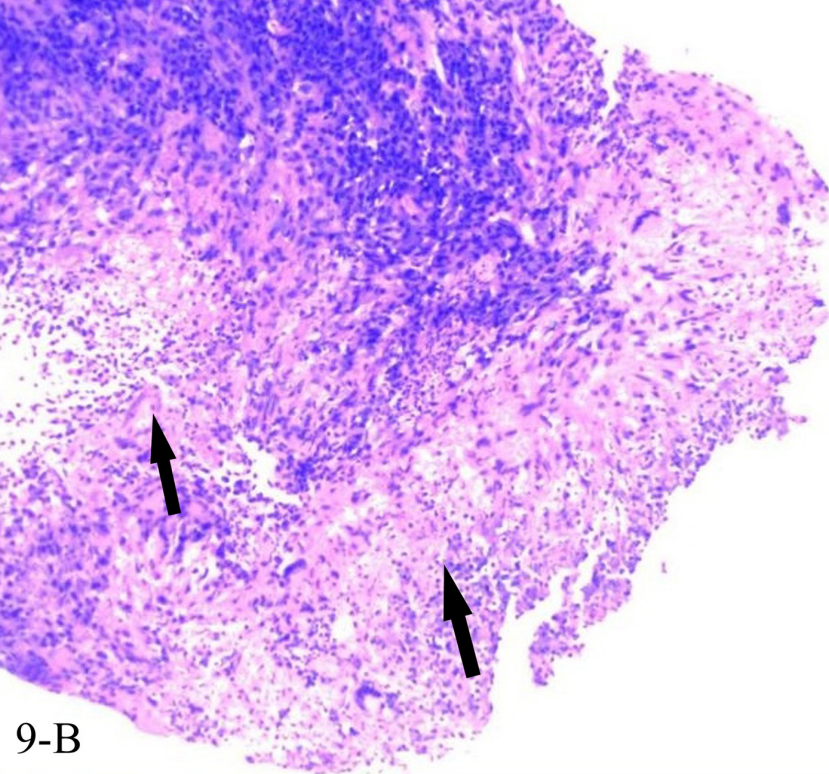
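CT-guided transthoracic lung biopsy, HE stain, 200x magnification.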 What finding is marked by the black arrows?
Necrotizing granulomatous inflammation.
